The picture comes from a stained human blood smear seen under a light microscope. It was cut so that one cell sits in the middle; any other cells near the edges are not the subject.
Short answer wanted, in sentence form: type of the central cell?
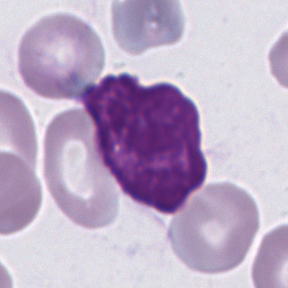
The cell sitting right in the middle is a smudge cell.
